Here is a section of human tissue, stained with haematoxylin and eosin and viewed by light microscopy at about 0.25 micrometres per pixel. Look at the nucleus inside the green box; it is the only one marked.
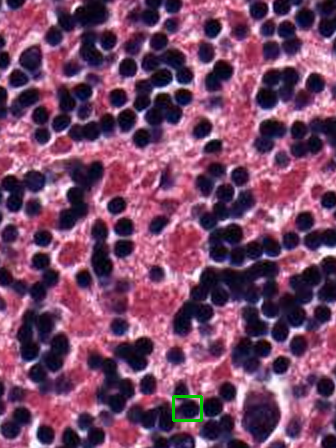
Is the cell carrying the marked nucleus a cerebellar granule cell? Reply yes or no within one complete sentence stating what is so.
Yes, a cerebellar granule cell contains the marked nucleus.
